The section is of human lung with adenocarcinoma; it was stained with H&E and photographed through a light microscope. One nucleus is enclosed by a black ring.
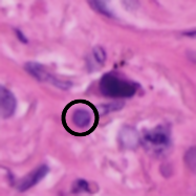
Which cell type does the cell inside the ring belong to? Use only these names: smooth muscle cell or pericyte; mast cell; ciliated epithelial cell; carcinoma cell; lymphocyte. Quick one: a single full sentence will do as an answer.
Right, so the cell inside the ring is a mast cell, to answer that.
